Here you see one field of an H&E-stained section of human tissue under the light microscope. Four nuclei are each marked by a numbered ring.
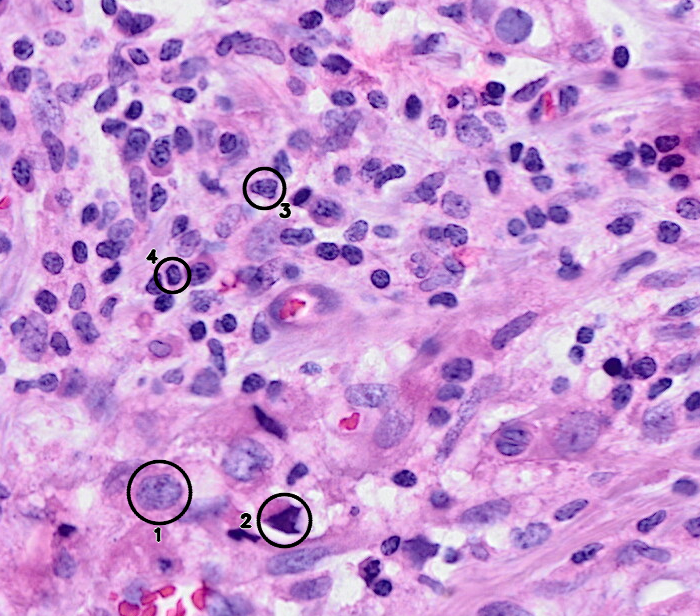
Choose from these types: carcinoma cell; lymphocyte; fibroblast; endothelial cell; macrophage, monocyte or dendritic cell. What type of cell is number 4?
lymphocyte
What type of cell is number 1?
carcinoma cell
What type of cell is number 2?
carcinoma cell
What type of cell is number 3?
lymphocyte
